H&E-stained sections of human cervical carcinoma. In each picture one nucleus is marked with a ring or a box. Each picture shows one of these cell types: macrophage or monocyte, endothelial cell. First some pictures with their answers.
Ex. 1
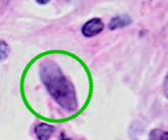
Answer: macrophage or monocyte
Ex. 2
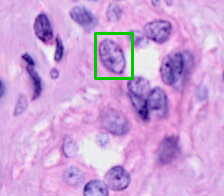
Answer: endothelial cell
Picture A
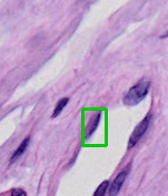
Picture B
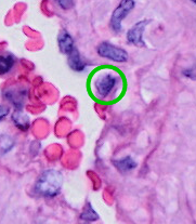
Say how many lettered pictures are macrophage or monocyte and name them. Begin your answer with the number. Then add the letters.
0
